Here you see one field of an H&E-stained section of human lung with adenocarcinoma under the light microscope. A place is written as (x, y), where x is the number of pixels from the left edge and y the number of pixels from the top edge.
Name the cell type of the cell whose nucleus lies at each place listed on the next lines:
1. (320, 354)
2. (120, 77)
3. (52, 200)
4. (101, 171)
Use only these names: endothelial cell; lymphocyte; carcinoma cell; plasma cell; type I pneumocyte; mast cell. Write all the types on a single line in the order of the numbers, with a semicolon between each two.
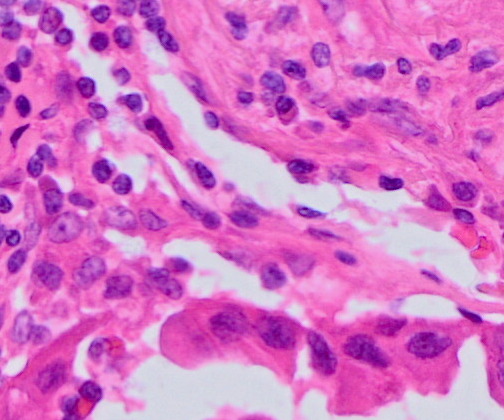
carcinoma cell; lymphocyte; plasma cell; lymphocyte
